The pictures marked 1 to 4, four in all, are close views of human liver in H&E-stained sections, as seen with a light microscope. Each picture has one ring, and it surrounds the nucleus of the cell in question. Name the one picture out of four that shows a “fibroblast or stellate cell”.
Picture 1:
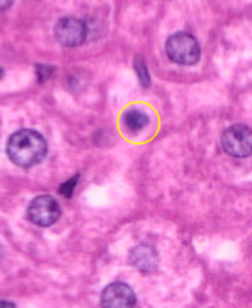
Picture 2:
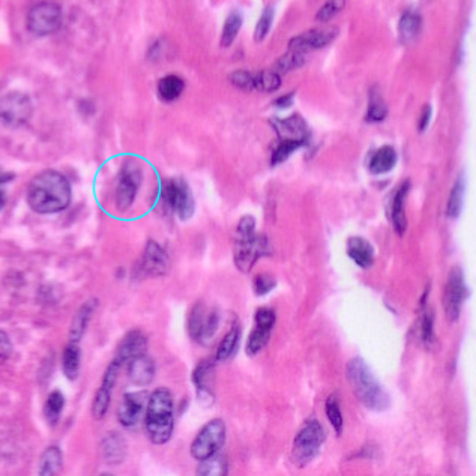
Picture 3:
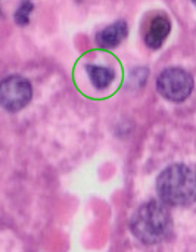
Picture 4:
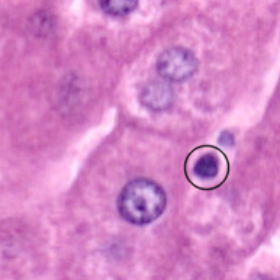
2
